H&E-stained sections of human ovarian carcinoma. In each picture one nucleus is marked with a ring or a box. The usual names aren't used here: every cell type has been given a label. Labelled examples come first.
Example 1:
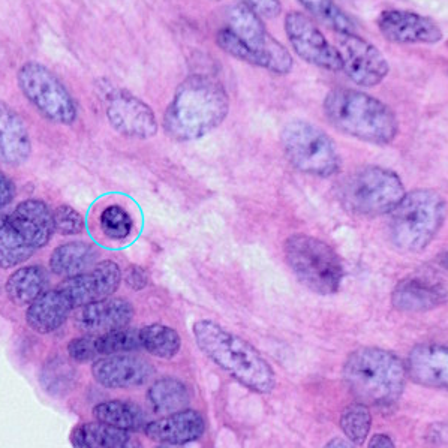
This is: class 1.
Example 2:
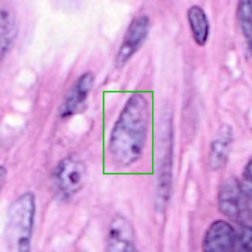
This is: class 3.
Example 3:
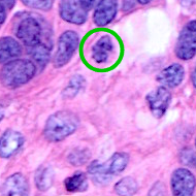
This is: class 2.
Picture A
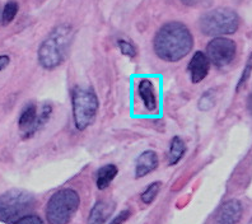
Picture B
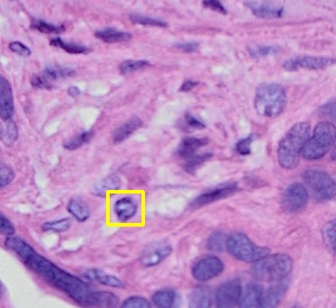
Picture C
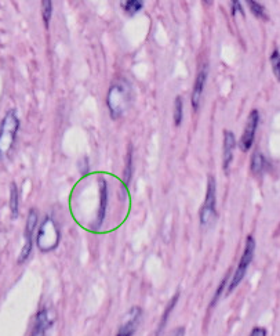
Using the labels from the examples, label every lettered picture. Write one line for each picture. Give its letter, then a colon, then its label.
A: class 1.
B: class 2.
C: class 3.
